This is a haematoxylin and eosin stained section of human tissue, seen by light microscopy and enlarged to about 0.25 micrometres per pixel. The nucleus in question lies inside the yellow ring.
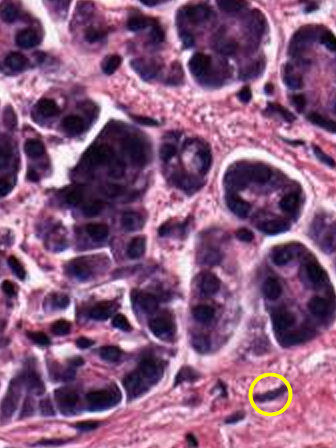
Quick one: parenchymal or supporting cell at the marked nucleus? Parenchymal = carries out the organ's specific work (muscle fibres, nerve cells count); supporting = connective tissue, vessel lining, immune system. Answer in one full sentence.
The cell holding the marked nucleus is identified as a supporting cell.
